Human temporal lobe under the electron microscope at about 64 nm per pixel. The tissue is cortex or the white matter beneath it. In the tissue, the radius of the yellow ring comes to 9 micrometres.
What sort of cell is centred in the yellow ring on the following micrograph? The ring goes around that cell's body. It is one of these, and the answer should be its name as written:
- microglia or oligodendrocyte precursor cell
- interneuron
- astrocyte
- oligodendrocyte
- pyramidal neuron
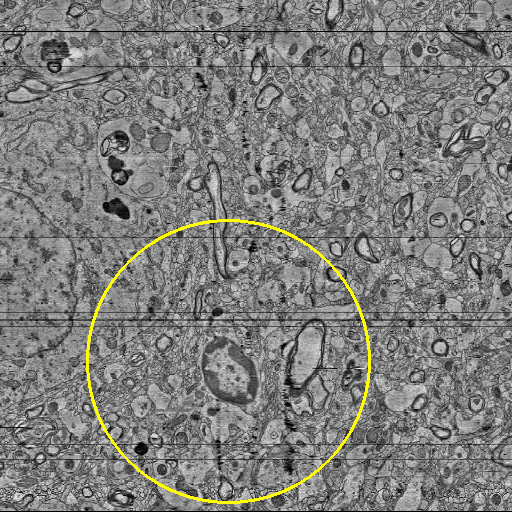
microglia or oligodendrocyte precursor cell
